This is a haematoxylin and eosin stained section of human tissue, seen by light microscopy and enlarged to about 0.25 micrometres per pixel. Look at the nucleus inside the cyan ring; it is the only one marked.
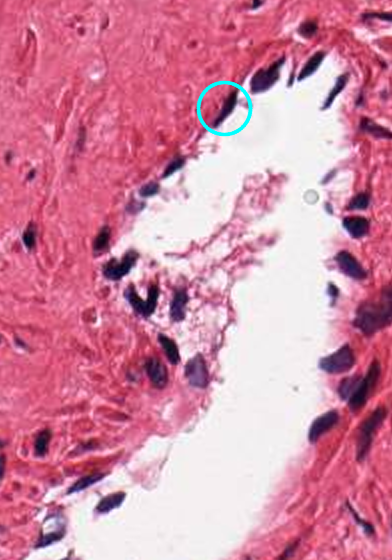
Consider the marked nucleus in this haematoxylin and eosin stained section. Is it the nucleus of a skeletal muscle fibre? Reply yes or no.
no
